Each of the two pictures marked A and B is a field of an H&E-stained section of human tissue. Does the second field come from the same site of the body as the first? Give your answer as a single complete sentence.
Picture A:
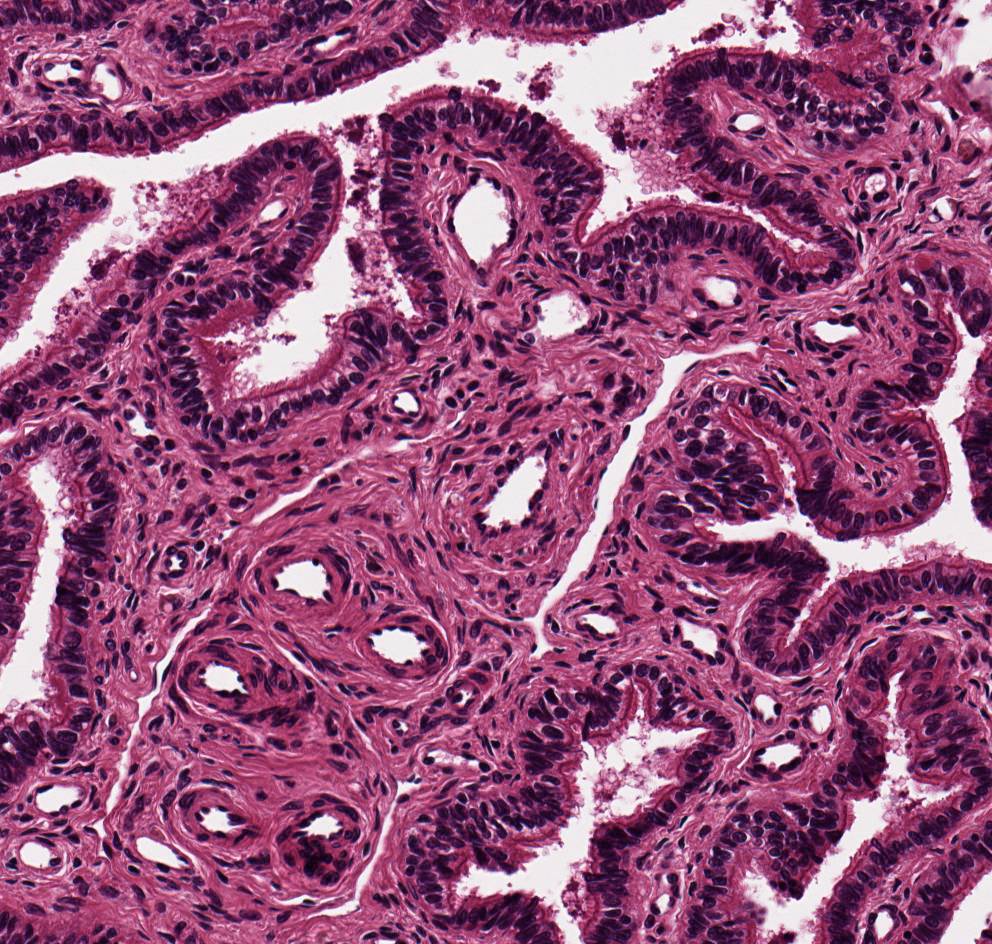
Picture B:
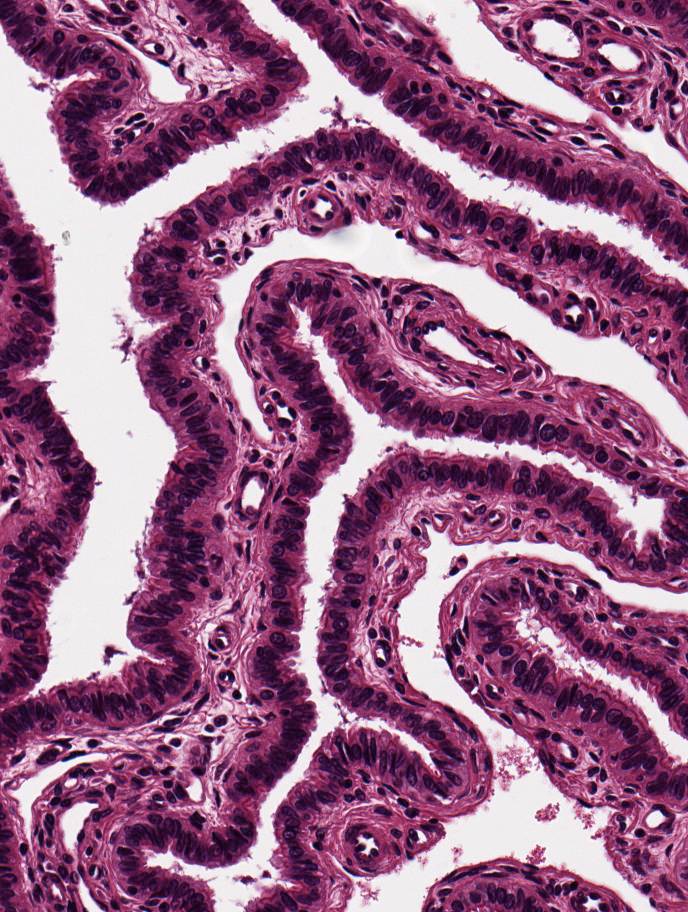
Yes, the two fields both come from the fallopian tube.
